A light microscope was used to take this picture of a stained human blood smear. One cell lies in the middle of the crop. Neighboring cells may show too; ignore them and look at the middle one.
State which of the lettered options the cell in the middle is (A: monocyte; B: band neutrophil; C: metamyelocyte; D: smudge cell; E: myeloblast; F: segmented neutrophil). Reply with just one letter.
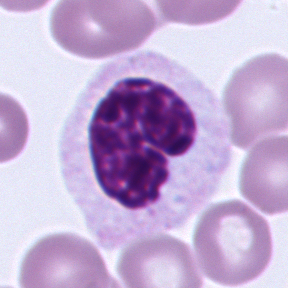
B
